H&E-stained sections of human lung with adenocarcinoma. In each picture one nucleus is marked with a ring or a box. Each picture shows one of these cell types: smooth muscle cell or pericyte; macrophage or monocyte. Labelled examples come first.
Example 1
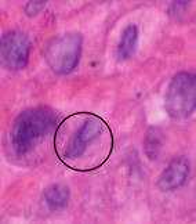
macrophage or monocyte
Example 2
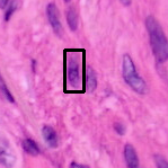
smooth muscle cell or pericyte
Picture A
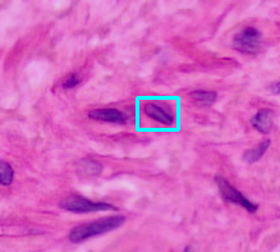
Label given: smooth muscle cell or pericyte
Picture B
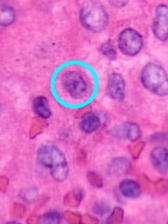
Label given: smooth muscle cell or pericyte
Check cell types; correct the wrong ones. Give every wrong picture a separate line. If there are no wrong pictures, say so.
Wrong: B (smooth muscle cell or pericyte); correct: macrophage or monocyte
